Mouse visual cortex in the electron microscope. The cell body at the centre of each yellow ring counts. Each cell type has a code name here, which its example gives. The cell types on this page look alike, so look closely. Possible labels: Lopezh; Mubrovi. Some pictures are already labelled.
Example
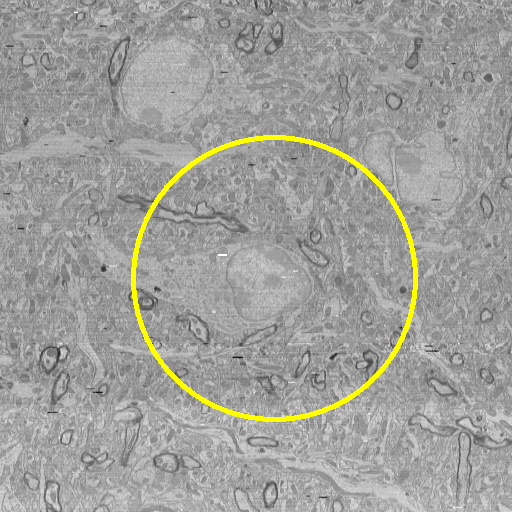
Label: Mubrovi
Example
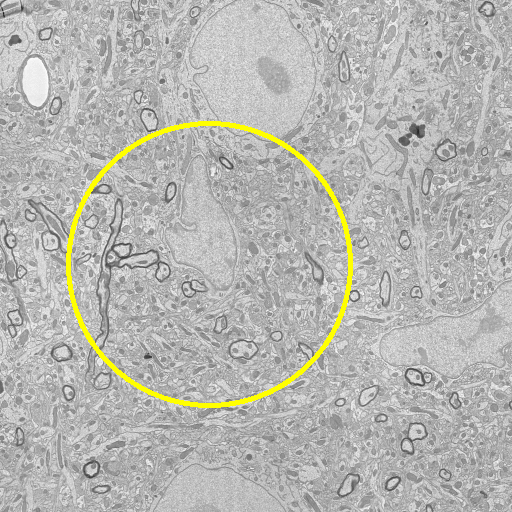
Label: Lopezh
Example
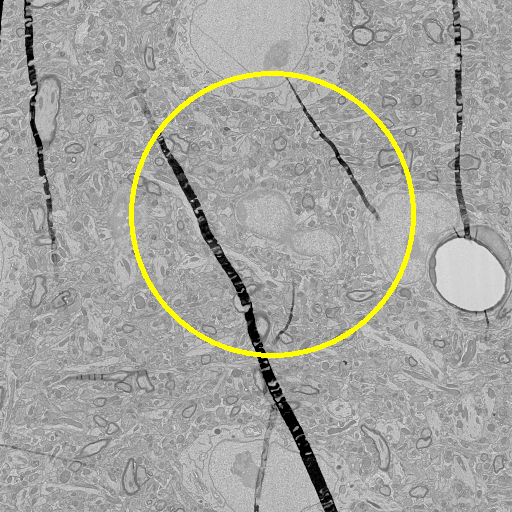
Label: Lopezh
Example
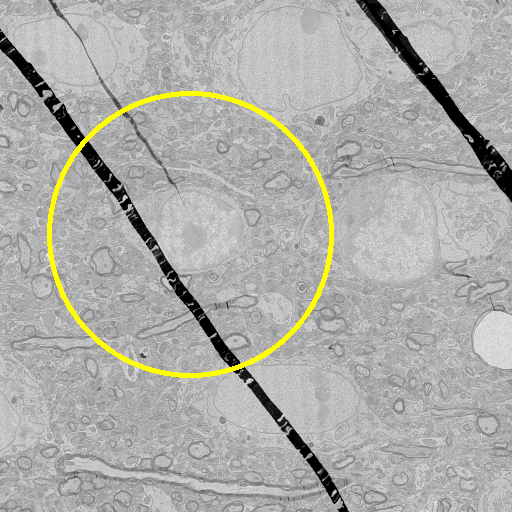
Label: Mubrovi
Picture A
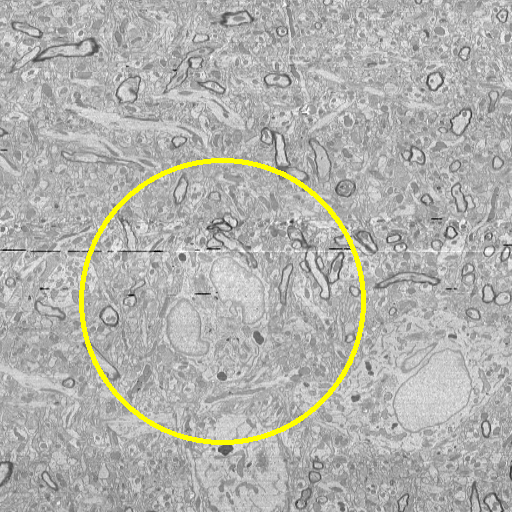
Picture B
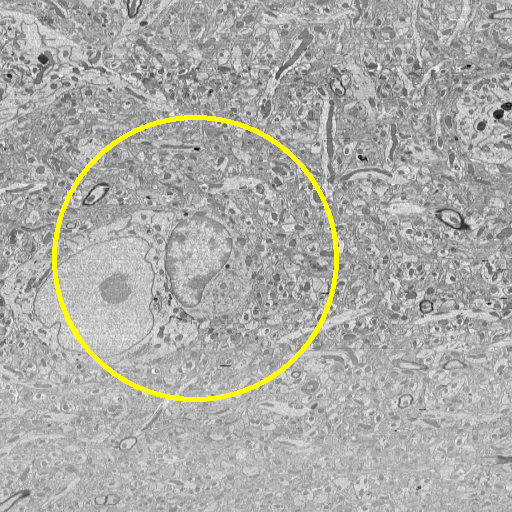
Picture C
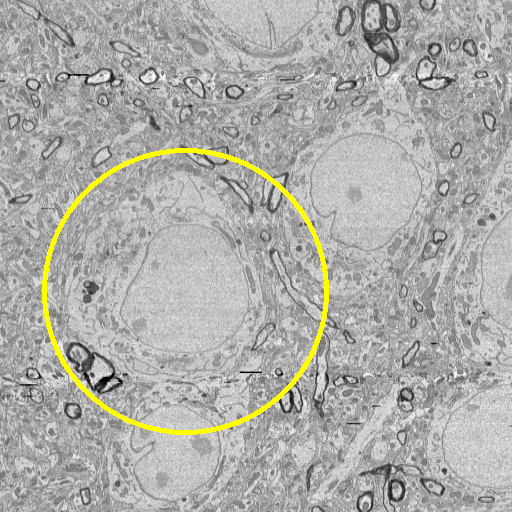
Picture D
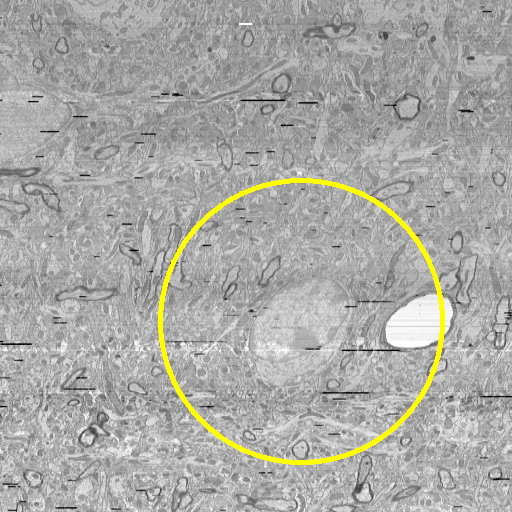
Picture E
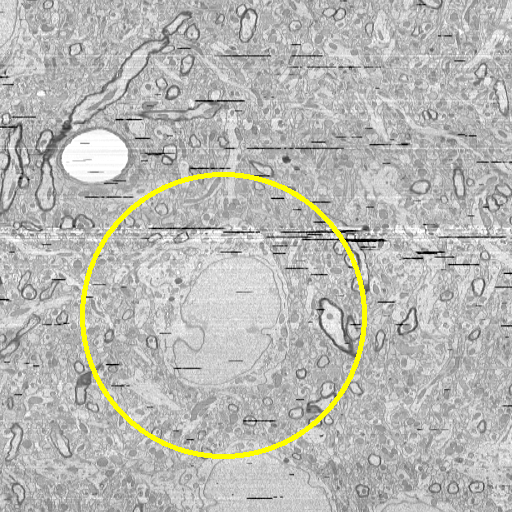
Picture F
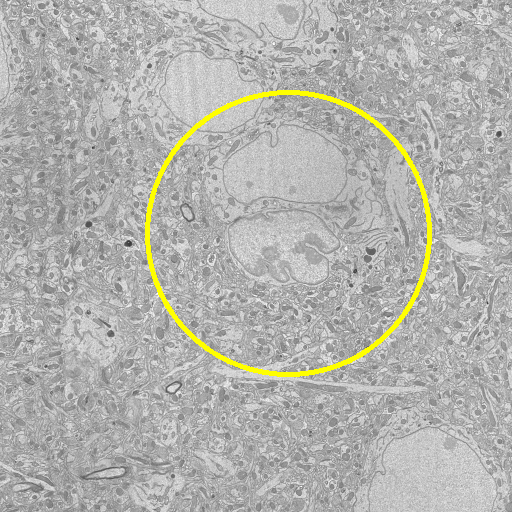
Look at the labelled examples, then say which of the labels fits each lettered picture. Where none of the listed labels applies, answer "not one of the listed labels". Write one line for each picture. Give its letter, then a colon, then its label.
A: Lopezh
B: Mubrovi
C: not one of the listed labels
D: Mubrovi
E: not one of the listed labels
F: Lopezh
